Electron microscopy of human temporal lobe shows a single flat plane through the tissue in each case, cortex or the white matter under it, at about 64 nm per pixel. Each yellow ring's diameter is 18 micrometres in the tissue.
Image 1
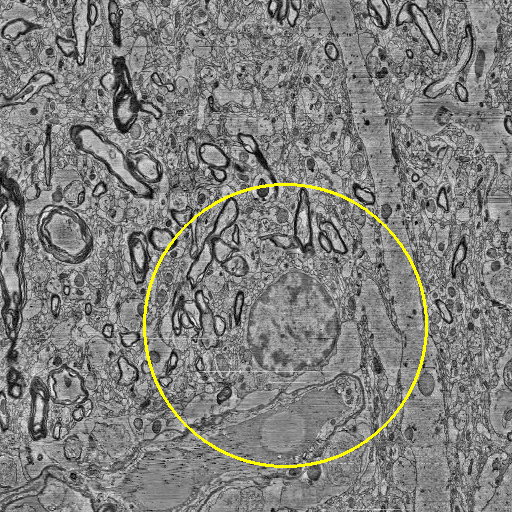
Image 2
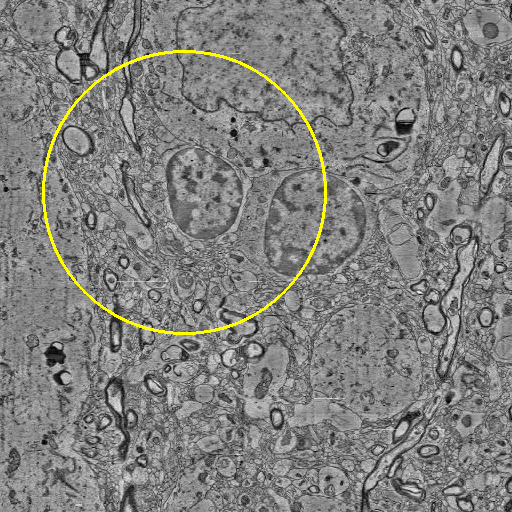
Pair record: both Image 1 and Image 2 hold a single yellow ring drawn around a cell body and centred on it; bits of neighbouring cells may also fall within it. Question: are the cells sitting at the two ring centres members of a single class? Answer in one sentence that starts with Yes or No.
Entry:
No, the ring-centre cells in Image 1 and Image 2 come from two classes.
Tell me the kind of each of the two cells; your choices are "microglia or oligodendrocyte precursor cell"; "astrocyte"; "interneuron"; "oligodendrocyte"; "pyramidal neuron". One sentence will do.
The ringed cell is an oligodendrocyte in the first picture and a microglial cell or oligodendrocyte precursor cell in the second picture.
